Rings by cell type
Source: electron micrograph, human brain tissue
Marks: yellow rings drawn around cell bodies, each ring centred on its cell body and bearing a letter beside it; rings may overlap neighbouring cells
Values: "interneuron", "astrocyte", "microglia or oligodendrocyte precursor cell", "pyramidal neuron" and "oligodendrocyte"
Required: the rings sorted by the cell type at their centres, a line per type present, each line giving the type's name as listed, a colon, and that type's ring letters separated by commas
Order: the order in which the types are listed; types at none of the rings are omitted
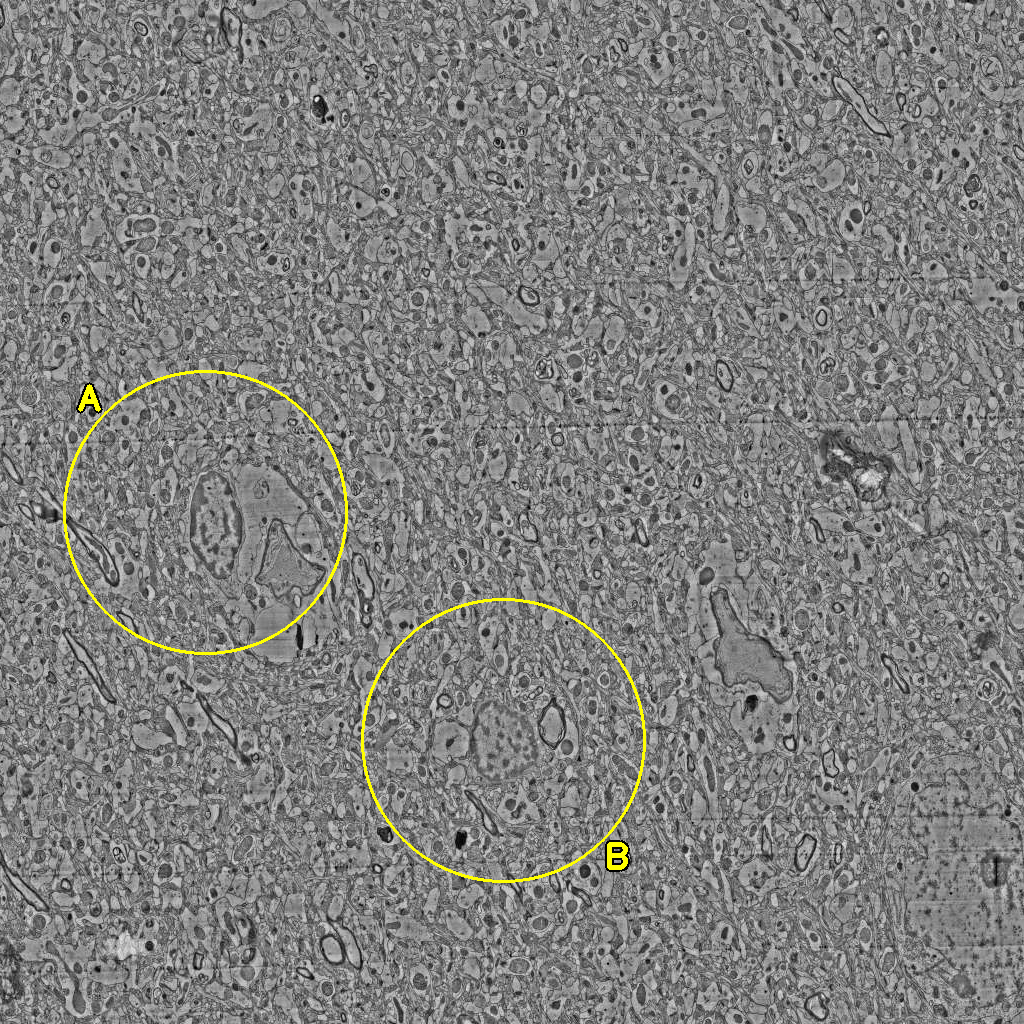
microglia or oligodendrocyte precursor cell: A
oligodendrocyte: B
